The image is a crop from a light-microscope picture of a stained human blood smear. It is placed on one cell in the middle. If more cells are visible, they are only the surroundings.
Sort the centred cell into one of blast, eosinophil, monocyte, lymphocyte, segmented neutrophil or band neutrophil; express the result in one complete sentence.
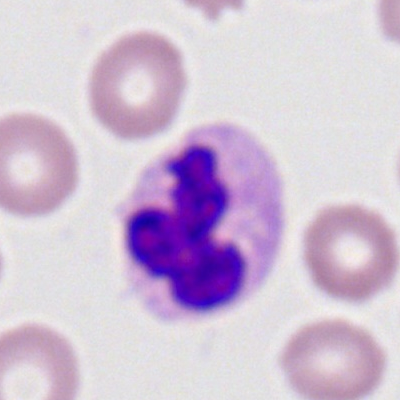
For this crop, the cell in the middle is a segmented neutrophil.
